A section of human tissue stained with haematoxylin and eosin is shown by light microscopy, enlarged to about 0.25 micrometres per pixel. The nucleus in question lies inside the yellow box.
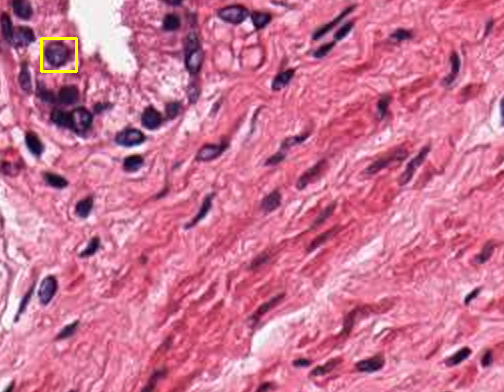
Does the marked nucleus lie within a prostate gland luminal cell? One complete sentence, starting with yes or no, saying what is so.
Yes, in this field of view the marked nucleus belongs to a prostate gland luminal cell.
